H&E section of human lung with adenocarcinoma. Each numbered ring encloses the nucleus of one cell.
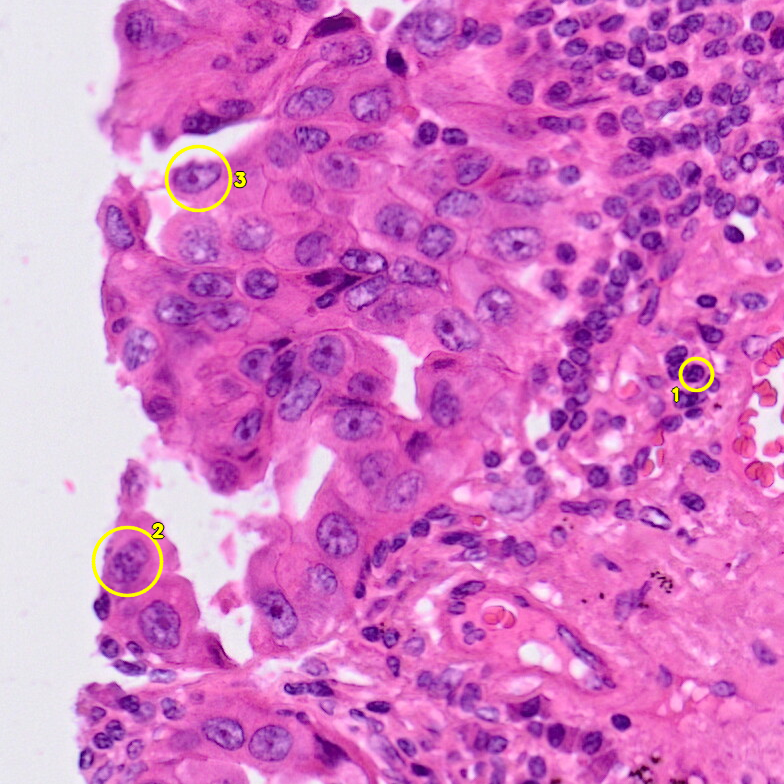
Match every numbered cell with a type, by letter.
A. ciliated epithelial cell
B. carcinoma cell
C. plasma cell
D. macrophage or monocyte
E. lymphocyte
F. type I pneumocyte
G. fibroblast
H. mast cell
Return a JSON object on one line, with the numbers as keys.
{"1": "E", "2": "B", "3": "B"}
